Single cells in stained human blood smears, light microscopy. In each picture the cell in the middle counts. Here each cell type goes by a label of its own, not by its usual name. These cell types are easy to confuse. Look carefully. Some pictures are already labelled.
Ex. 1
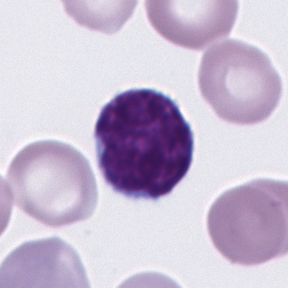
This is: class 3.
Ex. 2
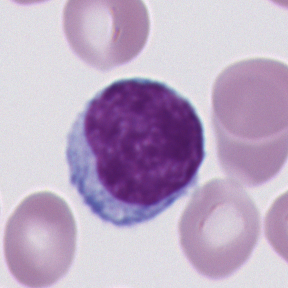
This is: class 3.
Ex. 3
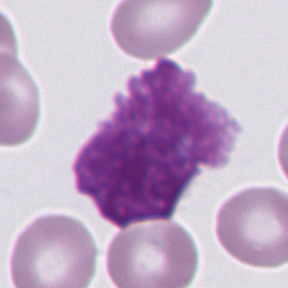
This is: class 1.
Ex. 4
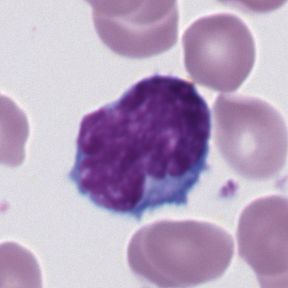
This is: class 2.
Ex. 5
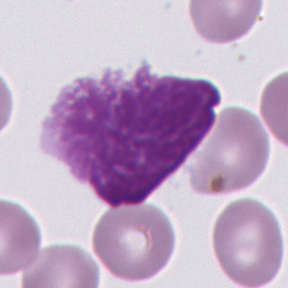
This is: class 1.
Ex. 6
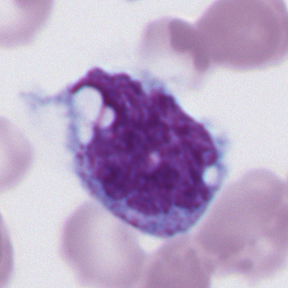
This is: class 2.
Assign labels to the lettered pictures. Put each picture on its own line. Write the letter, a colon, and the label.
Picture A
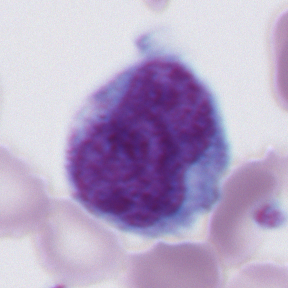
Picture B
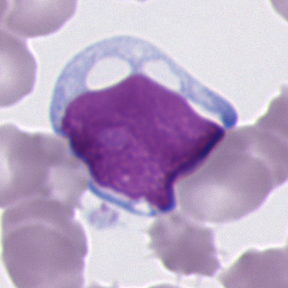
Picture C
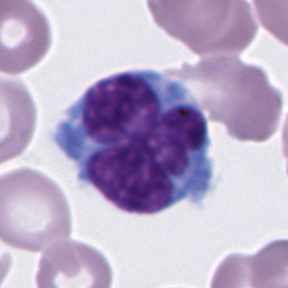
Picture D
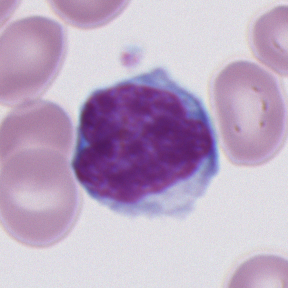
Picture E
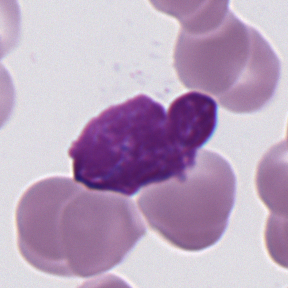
A: class 2.
B: class 3.
C: class 2.
D: class 3.
E: class 1.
